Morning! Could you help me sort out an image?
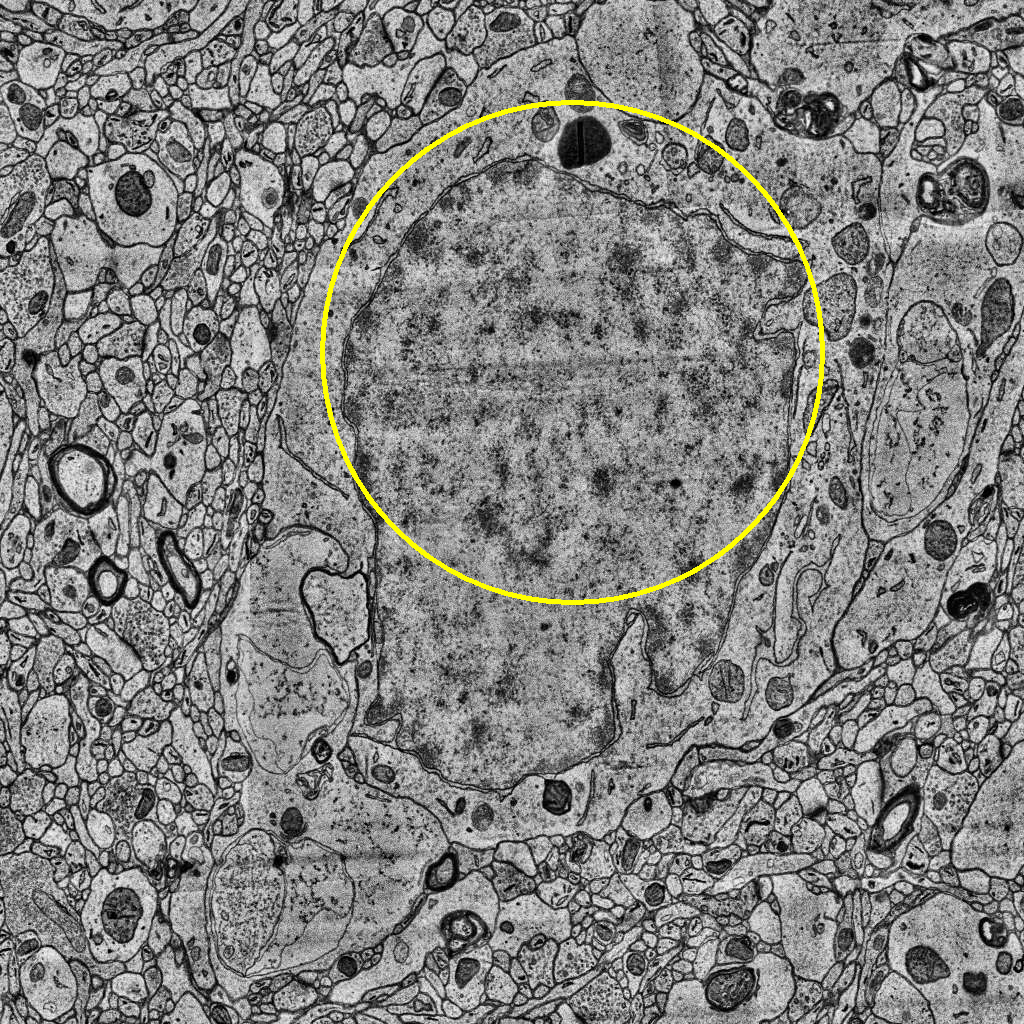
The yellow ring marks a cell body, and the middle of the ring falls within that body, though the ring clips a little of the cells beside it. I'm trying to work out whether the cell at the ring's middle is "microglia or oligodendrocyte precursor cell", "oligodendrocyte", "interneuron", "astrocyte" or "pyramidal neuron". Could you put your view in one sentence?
The cell body at the ring's middle is that of an interneuron.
